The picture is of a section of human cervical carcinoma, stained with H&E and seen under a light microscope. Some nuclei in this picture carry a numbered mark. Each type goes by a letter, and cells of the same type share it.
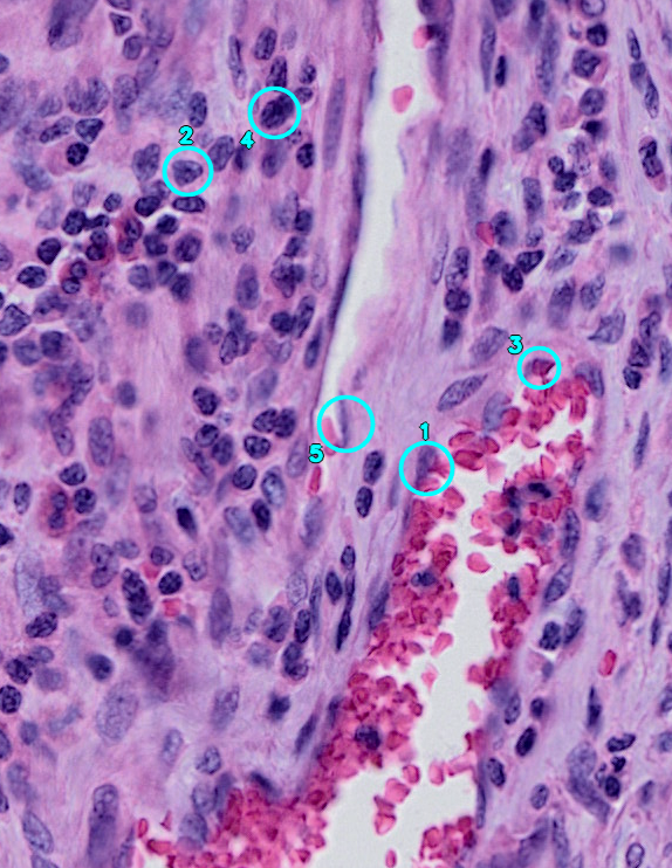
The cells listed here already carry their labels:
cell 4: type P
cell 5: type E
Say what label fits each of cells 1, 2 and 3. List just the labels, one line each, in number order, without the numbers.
type E
type P
type E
